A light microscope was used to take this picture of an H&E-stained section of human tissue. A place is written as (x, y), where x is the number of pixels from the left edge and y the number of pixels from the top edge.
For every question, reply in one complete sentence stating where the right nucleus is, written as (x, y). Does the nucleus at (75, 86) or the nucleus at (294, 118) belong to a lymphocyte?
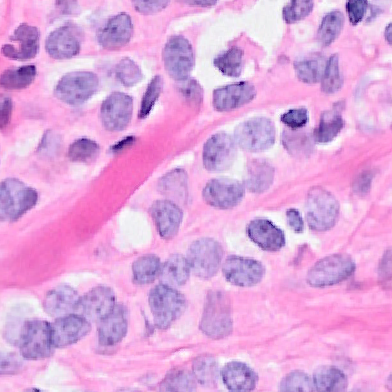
The nucleus whose position is (294, 118) belongs to a lymphocyte.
